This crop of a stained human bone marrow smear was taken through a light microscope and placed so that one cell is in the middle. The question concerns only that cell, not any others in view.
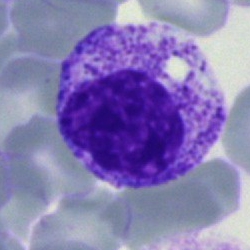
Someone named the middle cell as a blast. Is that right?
no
